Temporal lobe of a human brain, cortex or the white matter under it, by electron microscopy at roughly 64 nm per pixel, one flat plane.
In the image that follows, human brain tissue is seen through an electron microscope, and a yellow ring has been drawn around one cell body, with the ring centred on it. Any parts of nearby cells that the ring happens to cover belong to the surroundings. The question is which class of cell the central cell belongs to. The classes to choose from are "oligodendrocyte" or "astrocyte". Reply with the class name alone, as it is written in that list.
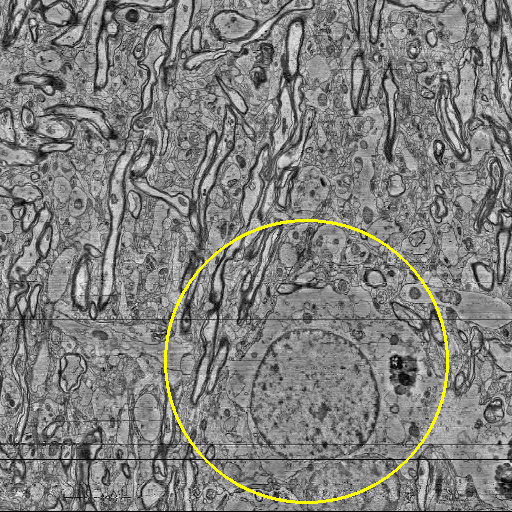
astrocyte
